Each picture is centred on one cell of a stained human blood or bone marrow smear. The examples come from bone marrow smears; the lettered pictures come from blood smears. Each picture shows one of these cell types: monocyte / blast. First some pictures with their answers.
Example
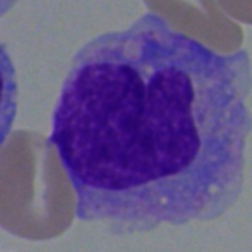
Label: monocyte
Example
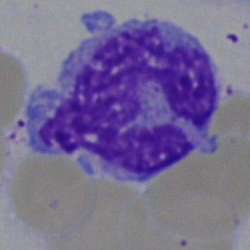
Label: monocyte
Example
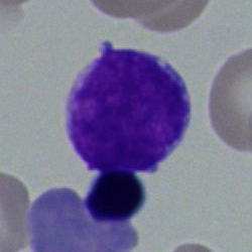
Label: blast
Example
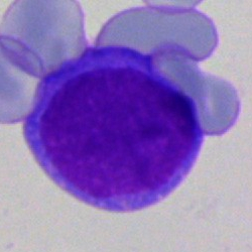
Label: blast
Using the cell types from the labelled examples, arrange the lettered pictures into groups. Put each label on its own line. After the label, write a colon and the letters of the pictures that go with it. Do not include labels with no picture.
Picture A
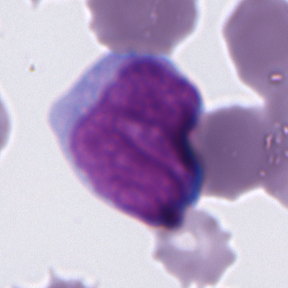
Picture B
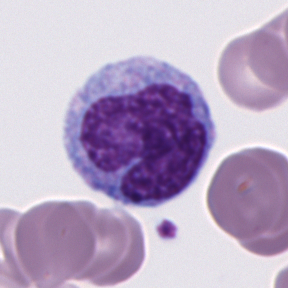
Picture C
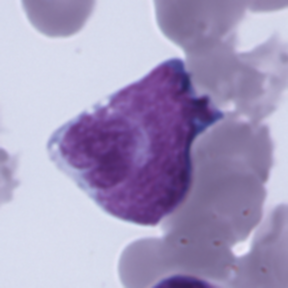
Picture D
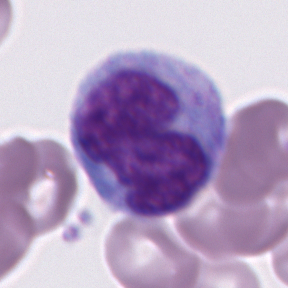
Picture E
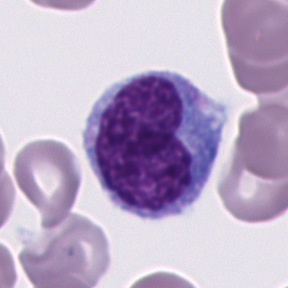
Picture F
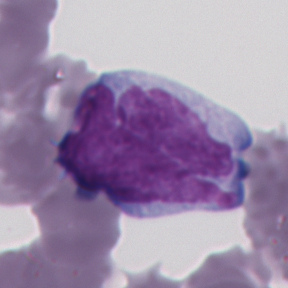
monocyte: B, D, E
blast: A, C, F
